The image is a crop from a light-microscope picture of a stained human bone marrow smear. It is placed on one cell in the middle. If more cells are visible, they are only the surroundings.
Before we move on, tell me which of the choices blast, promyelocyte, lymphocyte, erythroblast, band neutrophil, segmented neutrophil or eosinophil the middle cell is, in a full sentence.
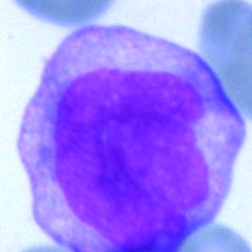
Regarding the central cell, it is a blast.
